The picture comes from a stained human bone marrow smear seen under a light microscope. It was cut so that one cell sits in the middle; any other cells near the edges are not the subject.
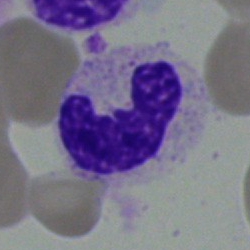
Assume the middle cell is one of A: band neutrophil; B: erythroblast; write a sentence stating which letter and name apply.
For this crop, option A is right, the centered cell being a band neutrophil.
